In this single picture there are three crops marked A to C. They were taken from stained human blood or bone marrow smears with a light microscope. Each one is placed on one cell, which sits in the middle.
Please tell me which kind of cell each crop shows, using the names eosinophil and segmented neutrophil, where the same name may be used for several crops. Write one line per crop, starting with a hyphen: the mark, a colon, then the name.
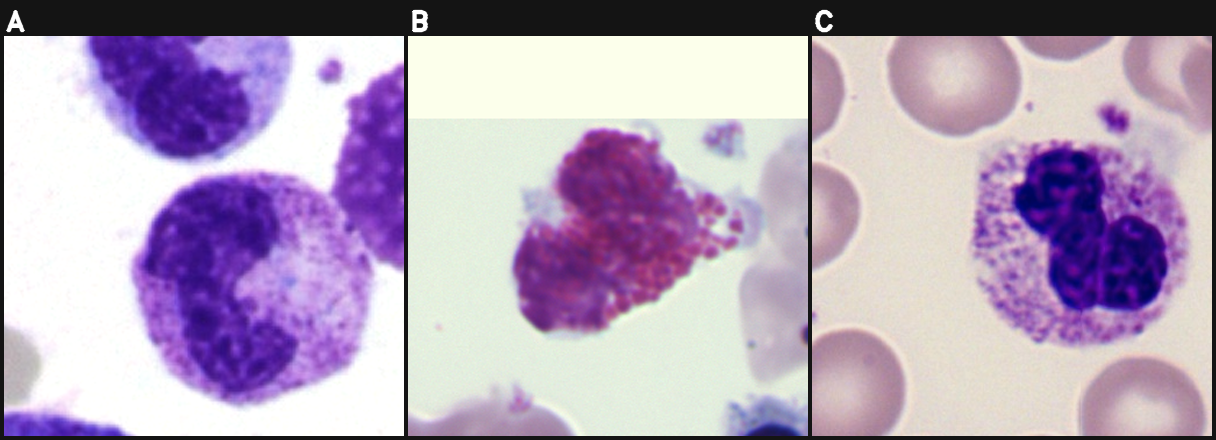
- A: segmented neutrophil
- B: eosinophil
- C: segmented neutrophil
